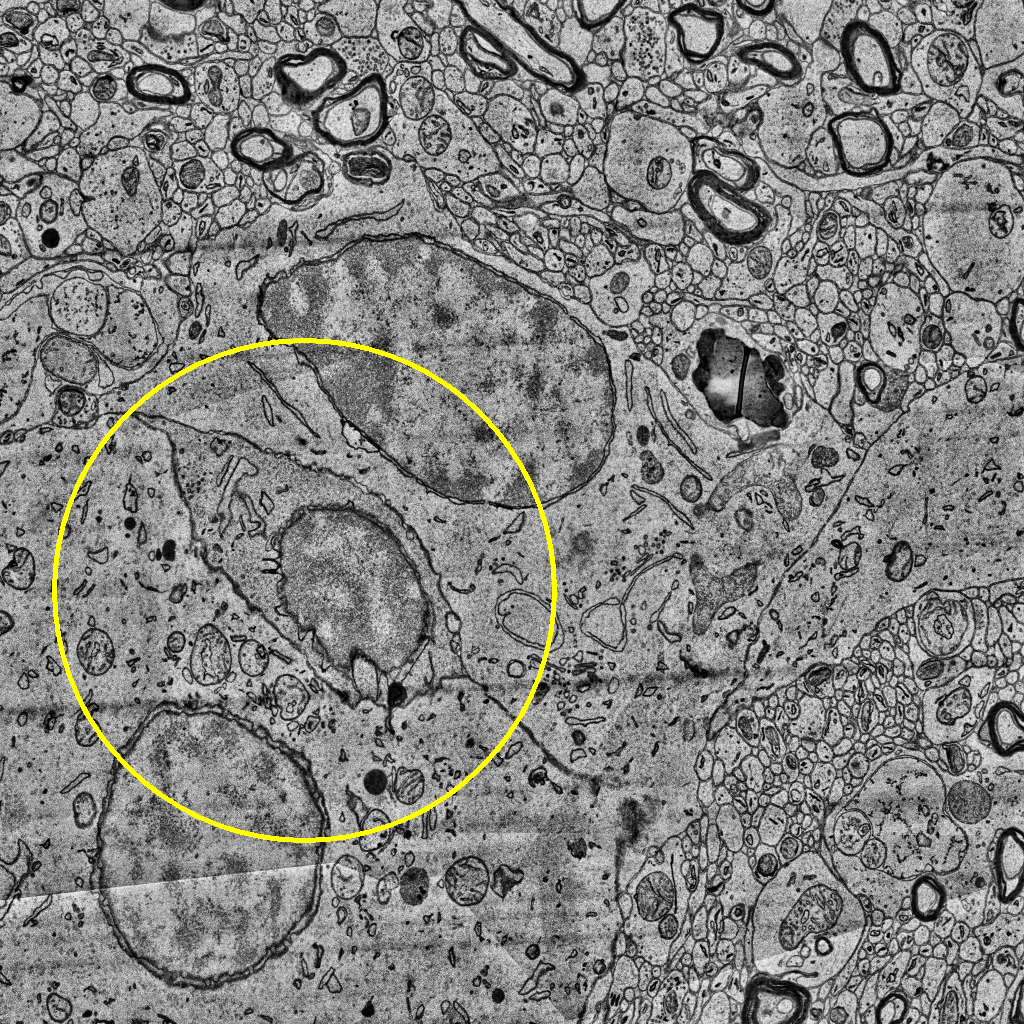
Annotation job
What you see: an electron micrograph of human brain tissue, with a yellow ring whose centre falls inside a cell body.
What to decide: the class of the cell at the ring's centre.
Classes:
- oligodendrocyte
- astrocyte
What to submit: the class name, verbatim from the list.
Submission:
oligodendrocyte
